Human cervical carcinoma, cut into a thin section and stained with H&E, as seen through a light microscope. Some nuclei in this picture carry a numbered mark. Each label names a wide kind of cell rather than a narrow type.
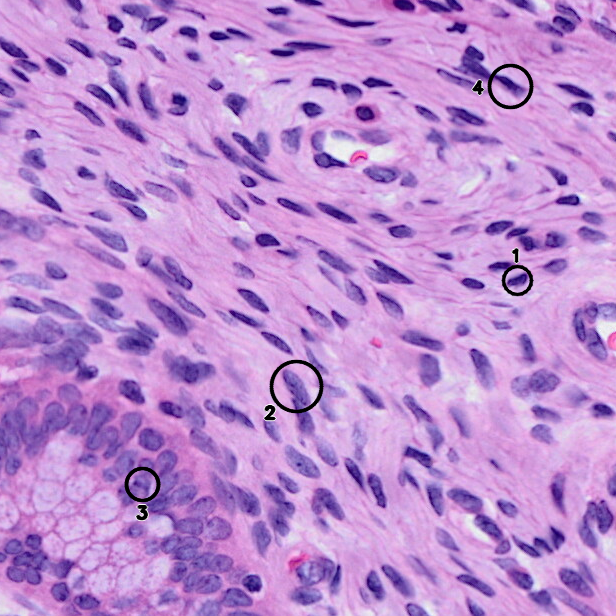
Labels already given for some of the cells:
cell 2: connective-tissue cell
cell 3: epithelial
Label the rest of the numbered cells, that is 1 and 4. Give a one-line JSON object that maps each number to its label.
{"1": "connective-tissue cell", "4": "connective-tissue cell"}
